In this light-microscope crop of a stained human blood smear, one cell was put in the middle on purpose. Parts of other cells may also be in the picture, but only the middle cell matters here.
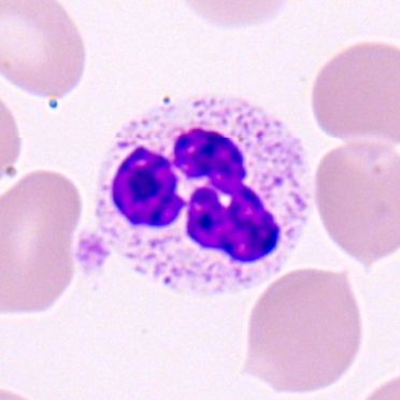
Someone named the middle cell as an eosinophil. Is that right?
no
